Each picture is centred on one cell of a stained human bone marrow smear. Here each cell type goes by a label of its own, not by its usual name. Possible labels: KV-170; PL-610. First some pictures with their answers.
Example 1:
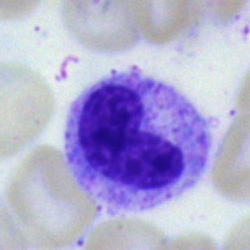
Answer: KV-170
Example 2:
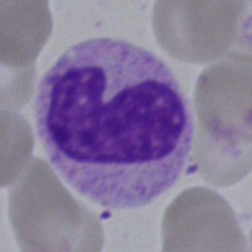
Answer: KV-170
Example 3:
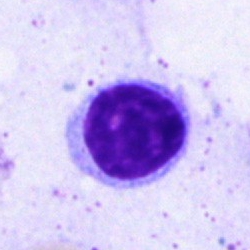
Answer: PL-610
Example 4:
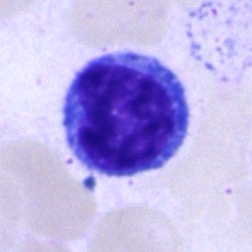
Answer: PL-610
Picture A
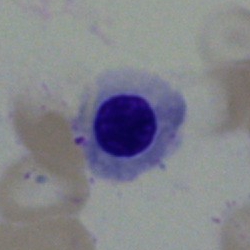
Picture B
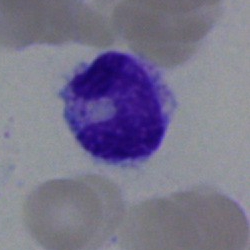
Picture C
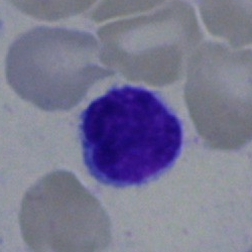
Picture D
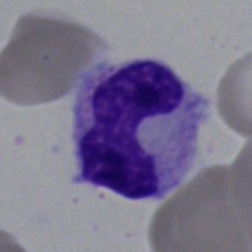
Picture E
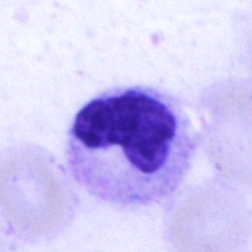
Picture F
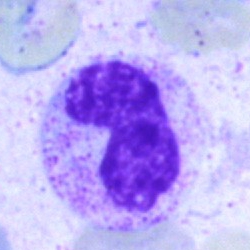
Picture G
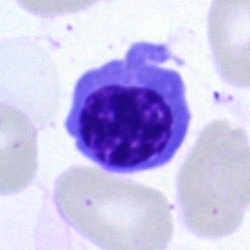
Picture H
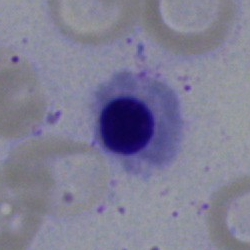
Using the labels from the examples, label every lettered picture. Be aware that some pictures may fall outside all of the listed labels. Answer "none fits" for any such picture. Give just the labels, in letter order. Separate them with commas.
none fits, KV-170, PL-610, KV-170, KV-170, KV-170, none fits, none fits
